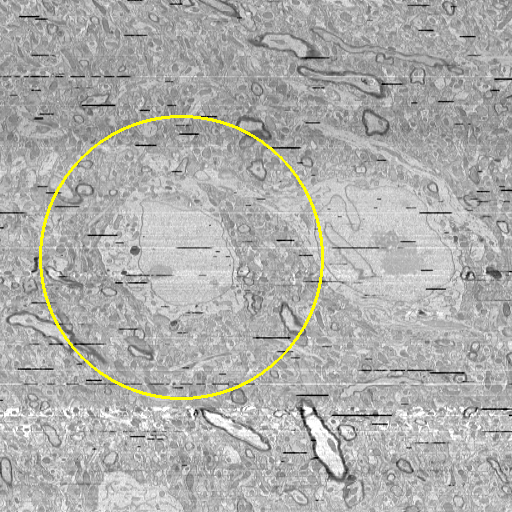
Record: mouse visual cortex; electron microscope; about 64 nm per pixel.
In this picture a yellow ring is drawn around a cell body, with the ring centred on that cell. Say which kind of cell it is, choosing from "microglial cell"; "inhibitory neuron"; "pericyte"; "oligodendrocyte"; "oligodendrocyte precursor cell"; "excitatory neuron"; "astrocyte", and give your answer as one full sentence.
Here it is an excitatory neuron that sits at the centre of the drawn yellow ring.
